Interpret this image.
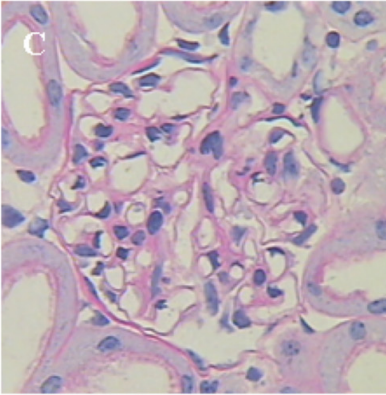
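The tuft consists of many open capillary loops outlined by thin magenta basement membranes. Dark blue nuclei are scattered densely through the tuft, with only slender strands of pink matrix between loops. A thin capsule and a narrow clear space separate the tuft from the surrounding tubules, whose walls are also outlined in magenta.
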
